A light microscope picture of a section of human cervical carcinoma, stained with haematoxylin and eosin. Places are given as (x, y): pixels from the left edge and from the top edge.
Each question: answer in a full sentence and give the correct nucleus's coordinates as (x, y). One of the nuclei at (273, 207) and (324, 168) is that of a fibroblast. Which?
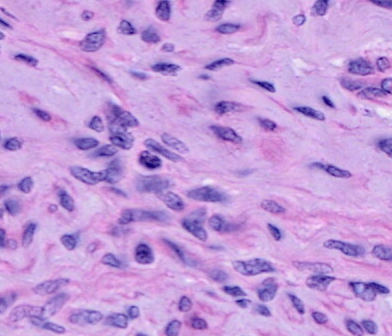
The nucleus at (324, 168) is part of a fibroblast, while the other is not.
